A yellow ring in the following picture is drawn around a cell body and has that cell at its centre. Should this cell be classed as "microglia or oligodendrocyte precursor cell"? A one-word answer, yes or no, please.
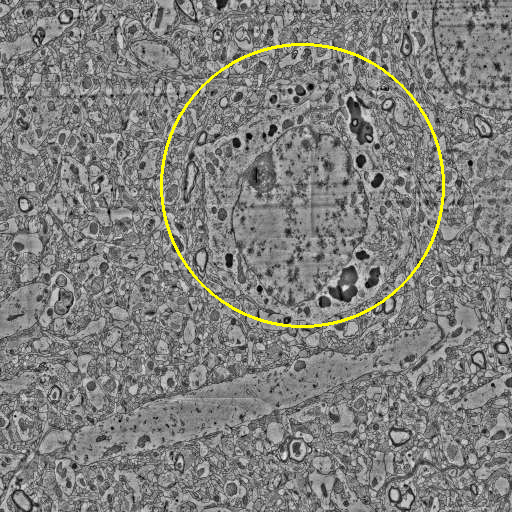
No, it is of another kind.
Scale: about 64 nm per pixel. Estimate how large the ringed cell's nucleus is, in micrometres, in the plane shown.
The nucleus has a long axis of about 11 micrometres and a short axis of about 8 micrometres in this plane.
